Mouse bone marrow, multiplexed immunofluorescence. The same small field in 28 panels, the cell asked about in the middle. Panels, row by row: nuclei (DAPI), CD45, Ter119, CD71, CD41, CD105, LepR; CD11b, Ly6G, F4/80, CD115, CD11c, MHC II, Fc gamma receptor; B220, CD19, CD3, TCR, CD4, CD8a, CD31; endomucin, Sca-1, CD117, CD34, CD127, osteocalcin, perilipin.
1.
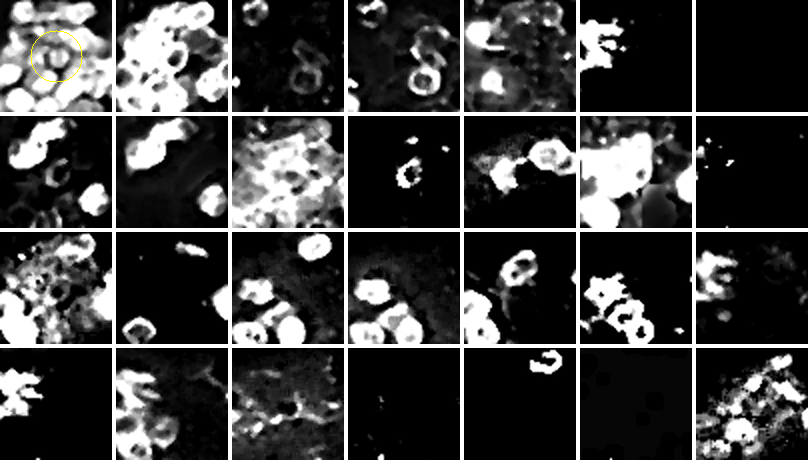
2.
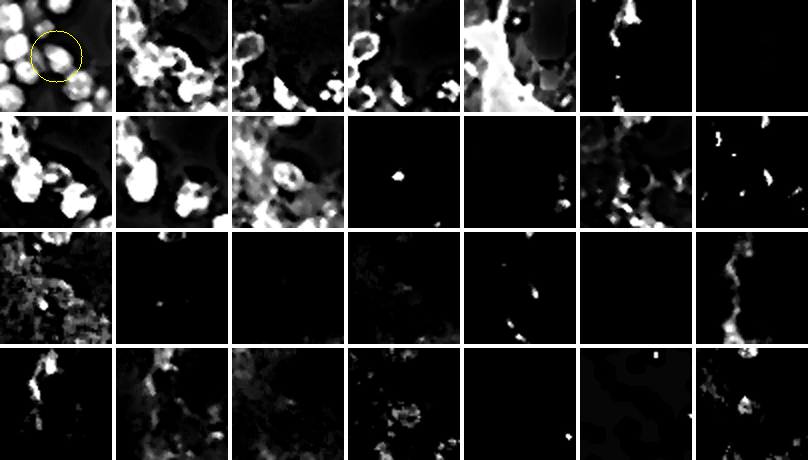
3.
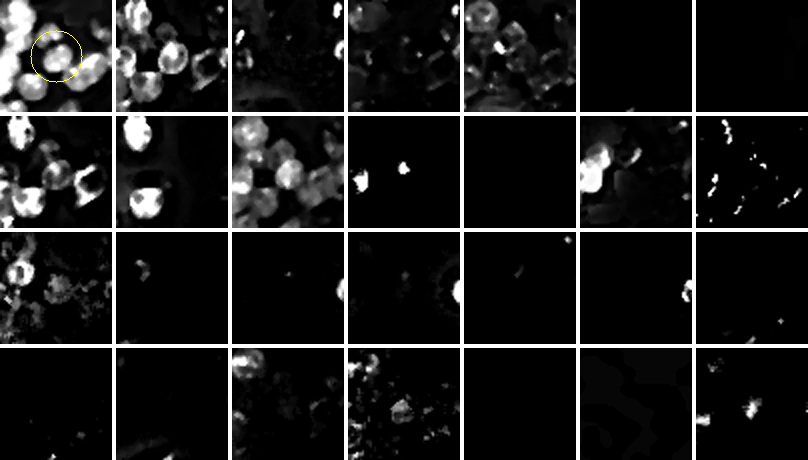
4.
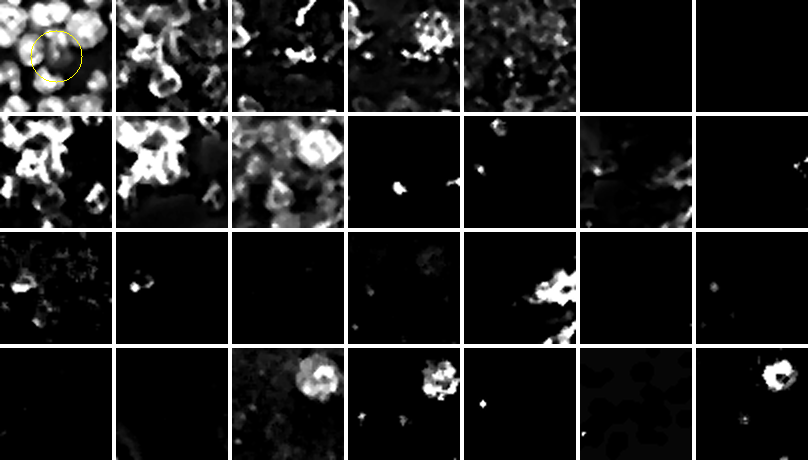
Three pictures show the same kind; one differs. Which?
Picture 4: an erythroblast, while the others are monocytes.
